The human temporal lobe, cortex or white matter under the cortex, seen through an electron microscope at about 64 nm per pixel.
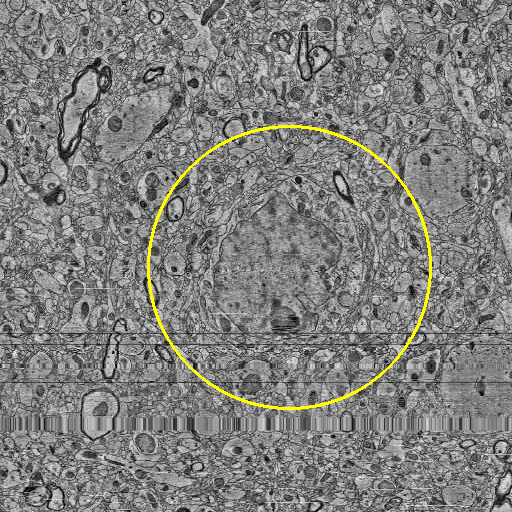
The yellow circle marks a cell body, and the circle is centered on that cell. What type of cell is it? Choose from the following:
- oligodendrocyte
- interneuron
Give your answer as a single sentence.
This cell body belongs to an interneuron.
